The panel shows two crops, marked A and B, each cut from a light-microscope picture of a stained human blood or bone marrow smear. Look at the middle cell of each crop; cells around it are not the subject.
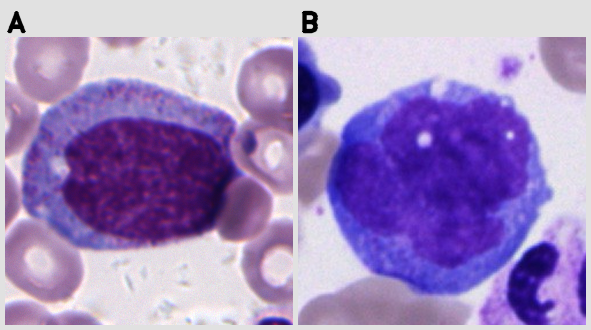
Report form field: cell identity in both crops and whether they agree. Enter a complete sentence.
No, it is in crop A that a promyelocyte is shown, and in crop B that a monocyte is shown.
